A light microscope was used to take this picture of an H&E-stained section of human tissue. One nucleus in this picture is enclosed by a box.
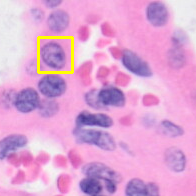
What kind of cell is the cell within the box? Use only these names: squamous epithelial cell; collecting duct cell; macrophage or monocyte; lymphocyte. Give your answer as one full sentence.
The cell within the box appears to be a collecting duct cell.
